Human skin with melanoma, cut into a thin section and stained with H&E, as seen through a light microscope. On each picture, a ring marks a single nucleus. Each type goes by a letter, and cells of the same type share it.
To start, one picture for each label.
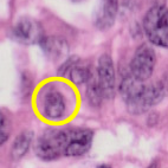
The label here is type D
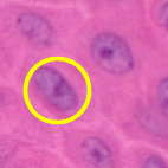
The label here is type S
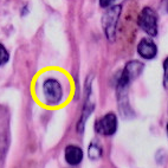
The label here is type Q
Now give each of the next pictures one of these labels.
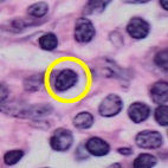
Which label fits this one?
type Q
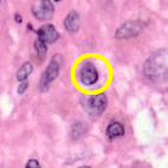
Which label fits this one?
type Q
